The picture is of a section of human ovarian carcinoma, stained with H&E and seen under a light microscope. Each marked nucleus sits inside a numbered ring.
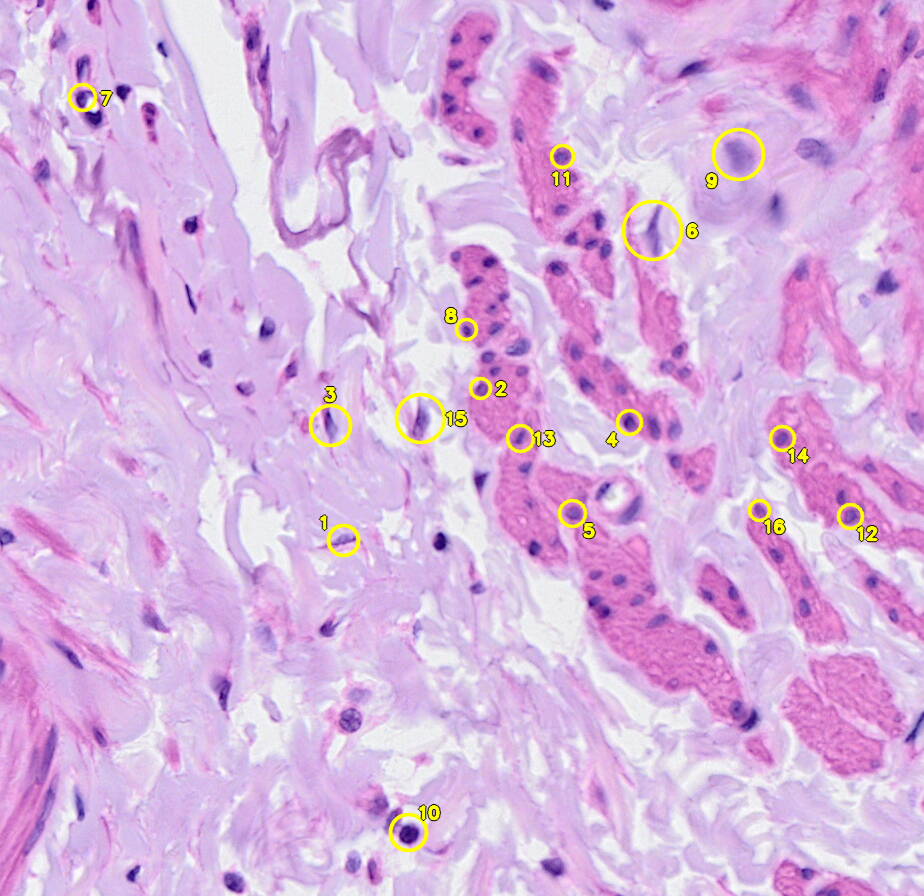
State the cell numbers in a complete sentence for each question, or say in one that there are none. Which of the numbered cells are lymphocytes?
Among the cells marked with numbers, the only one that is a lymphocyte is number 10.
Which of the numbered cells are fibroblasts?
Marked by the numbers 1, 3, 6, 9 and 15 are cells that are fibroblasts.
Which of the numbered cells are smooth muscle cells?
The cells picked out by numbers 2, 4, 5, 8, 11, 12, 13, 14 and 16 are smooth muscle cells.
